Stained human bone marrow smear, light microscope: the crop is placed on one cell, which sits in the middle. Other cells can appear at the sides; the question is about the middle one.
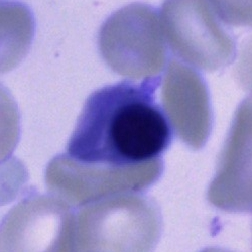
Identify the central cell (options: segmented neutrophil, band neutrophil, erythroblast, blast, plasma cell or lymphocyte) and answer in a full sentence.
The crop's centre is taken up by an erythroblast.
